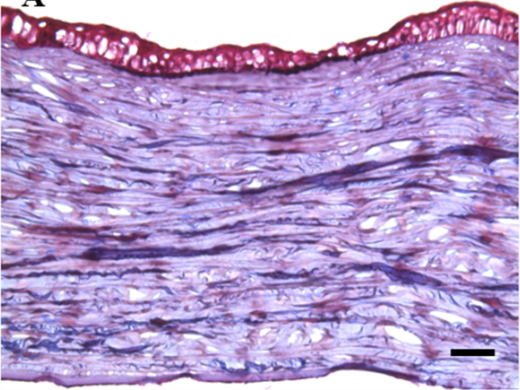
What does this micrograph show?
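This is a section through the cornea, with a stratified epithelium of red-stained cells along the top surface, many with pale, clear cytoplasm. Below it the thick stroma is built of long, parallel lamellae staining blue to purple, with flattened, elongated cells lying between them. The lamellae run evenly across the section, with scattered small clefts between them.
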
